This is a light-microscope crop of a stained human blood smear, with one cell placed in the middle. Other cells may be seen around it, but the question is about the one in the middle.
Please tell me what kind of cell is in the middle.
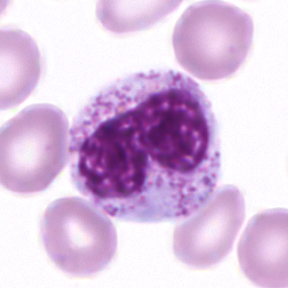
band neutrophil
